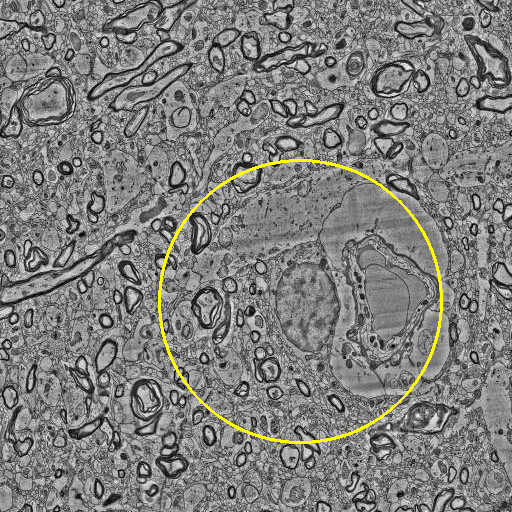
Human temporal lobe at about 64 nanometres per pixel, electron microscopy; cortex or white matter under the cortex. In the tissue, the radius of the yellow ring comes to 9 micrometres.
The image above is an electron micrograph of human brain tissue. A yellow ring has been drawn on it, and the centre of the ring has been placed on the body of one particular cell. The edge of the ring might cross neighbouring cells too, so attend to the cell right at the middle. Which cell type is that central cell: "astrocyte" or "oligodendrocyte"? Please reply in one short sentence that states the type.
The central cell in the ring is an oligodendrocyte.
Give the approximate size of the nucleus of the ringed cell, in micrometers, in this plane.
Approximately 6 micrometres long and 4 micrometres wide, in this plane.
